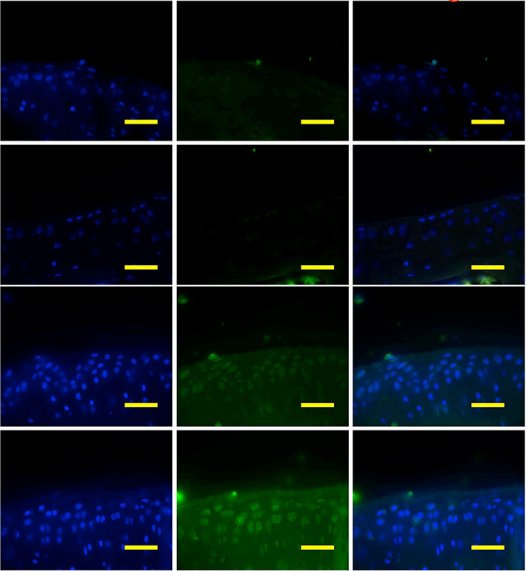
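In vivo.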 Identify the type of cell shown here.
chondrocyte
